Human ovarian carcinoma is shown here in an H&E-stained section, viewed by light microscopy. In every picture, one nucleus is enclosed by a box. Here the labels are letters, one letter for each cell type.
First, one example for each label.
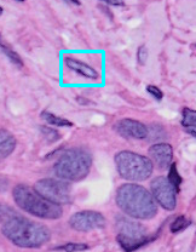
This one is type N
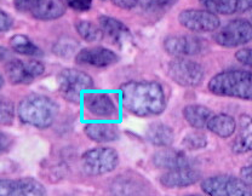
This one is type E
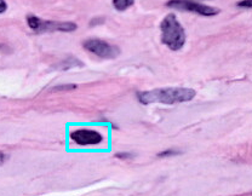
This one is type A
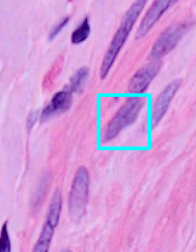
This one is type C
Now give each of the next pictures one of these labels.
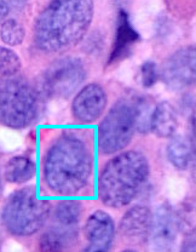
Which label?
type E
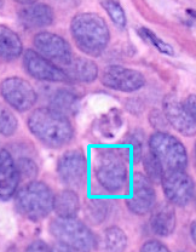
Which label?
type E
